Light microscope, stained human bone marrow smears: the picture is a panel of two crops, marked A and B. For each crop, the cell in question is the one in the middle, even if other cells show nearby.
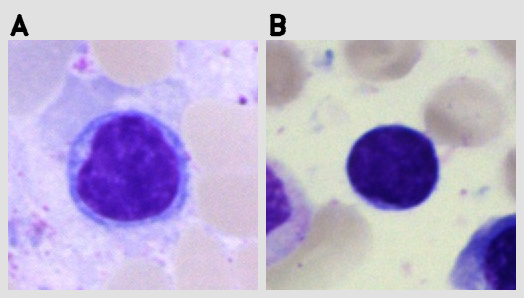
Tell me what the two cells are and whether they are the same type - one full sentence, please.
Yes, both crops show a cell each, and these are lymphocytes.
